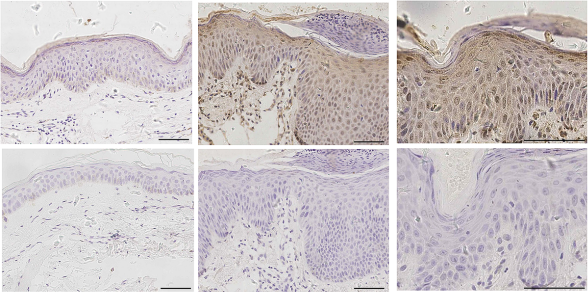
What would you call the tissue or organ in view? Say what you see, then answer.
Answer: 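A stratified epithelium of many cell layers lies over loose connective tissue. The outer surface carries a thin flattened cornified layer.
Hence: skin.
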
